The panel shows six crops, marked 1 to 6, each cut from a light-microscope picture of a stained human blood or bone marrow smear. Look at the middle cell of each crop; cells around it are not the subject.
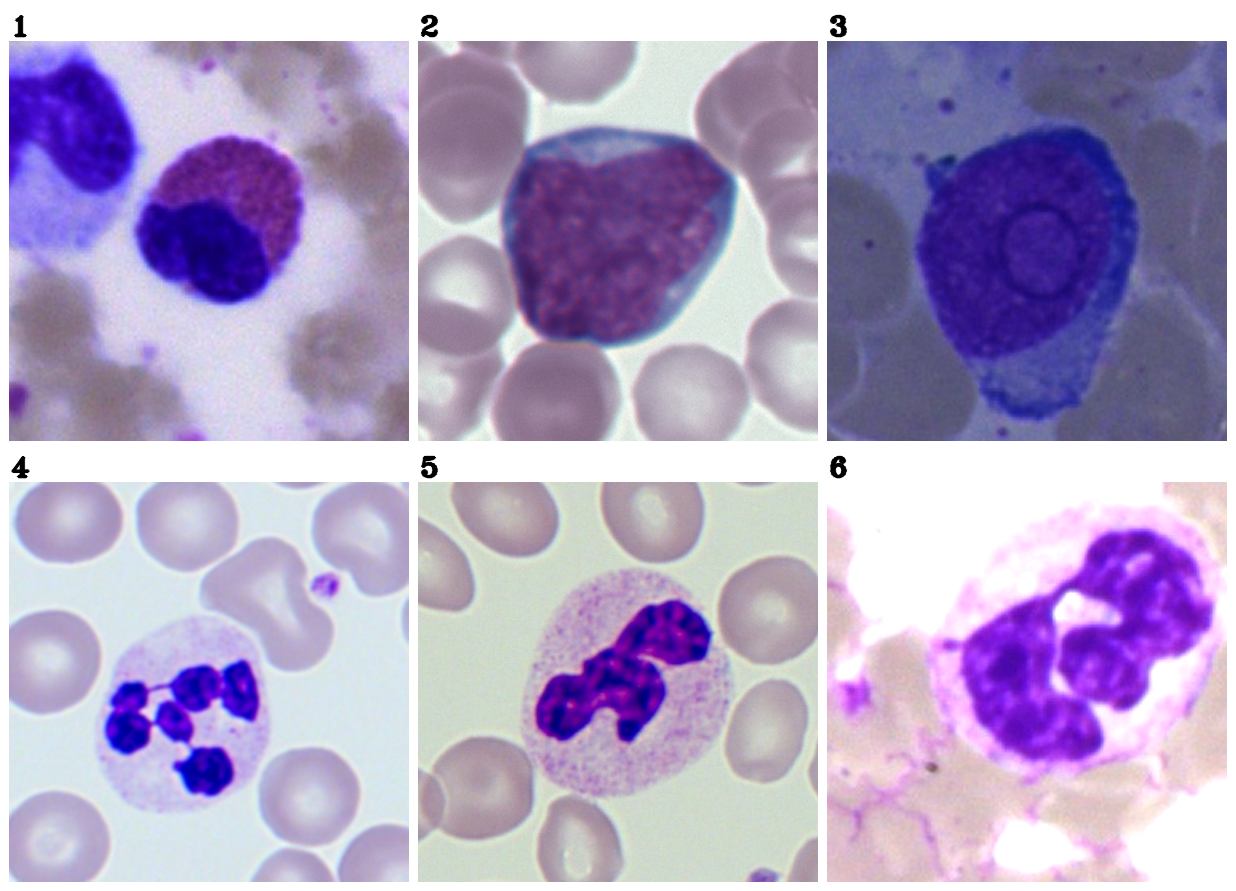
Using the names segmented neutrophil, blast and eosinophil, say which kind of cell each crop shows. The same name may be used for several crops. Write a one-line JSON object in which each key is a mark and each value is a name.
{"1": "eosinophil", "2": "blast", "3": "blast", "4": "segmented neutrophil", "5": "segmented neutrophil", "6": "segmented neutrophil"}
